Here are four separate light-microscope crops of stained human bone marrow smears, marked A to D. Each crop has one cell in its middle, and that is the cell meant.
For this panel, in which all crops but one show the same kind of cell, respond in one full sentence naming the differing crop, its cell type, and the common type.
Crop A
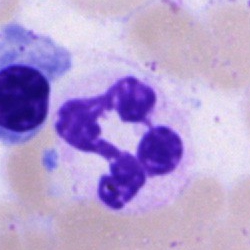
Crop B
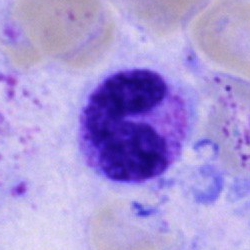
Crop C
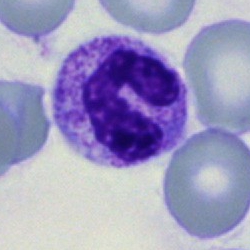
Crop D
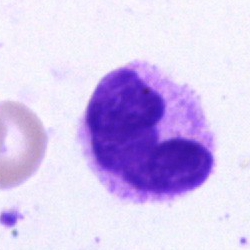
The crops all show segmented neutrophils, with the exception of crop B, which shows a band neutrophil.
